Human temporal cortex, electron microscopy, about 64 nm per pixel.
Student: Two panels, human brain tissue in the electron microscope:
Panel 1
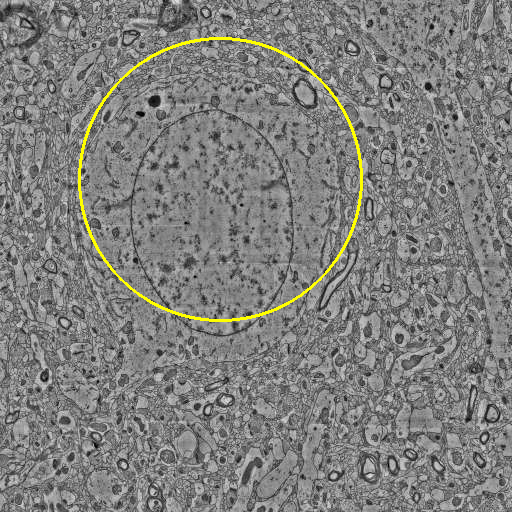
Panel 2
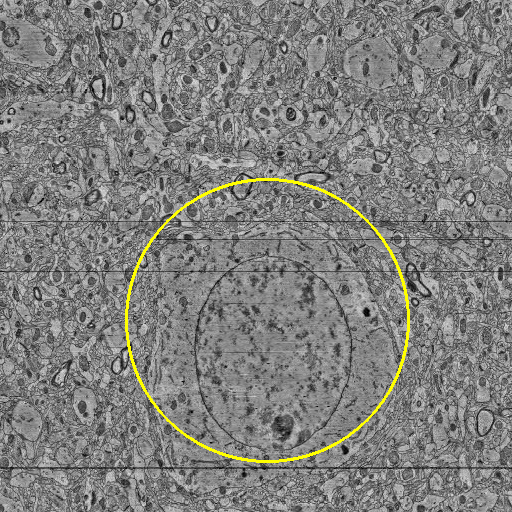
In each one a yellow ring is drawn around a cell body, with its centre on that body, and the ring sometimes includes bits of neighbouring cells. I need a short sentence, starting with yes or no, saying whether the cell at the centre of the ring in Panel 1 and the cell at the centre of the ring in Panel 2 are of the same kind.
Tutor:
Yes, they are the same kind of cell.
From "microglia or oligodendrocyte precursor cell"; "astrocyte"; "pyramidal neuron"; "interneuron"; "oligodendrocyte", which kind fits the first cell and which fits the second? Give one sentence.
Each cell, in the first picture and the second, is a pyramidal neuron.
